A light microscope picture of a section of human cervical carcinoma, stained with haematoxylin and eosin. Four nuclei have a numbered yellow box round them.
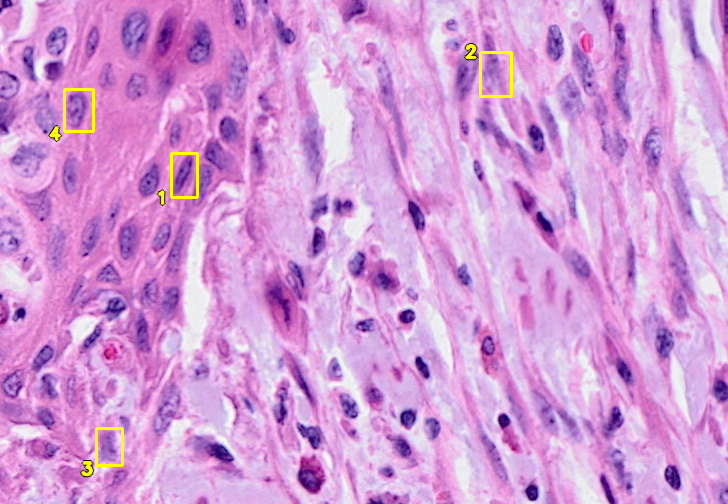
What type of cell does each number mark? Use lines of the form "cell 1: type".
cell 1: squamous carcinoma cell
cell 2: fibroblast
cell 3: fibroblast
cell 4: squamous carcinoma cell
